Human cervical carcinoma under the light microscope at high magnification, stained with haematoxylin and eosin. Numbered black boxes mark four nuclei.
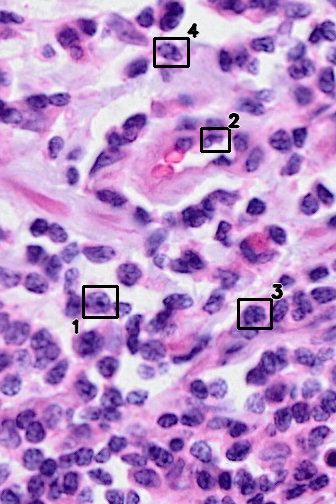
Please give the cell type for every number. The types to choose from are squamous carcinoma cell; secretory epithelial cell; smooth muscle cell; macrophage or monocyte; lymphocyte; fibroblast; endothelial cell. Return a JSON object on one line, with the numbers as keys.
{"1": "lymphocyte", "2": "endothelial cell", "3": "lymphocyte", "4": "lymphocyte"}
